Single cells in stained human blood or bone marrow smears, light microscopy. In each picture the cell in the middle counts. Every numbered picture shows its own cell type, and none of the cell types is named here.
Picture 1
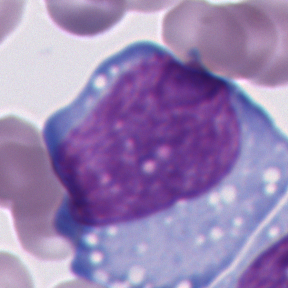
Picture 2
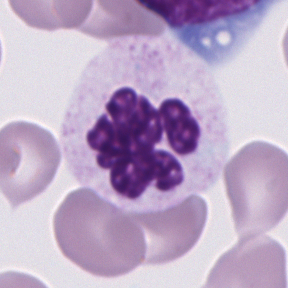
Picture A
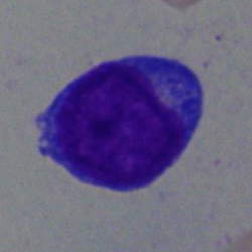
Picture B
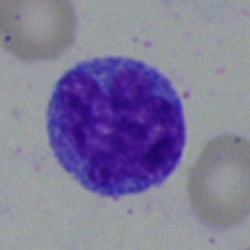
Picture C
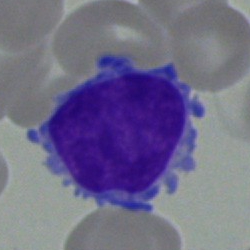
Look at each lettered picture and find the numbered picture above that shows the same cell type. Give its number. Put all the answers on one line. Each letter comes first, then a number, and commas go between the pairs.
A 1, B 1, C 1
